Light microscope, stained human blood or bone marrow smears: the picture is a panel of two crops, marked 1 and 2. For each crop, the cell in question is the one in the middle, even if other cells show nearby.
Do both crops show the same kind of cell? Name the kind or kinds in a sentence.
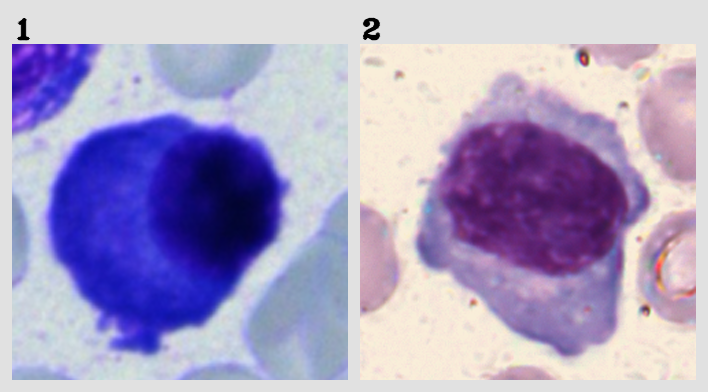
Yes, the cells centred in the two crops are both plasma cells.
